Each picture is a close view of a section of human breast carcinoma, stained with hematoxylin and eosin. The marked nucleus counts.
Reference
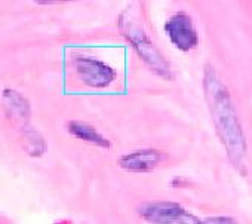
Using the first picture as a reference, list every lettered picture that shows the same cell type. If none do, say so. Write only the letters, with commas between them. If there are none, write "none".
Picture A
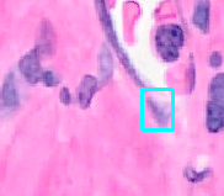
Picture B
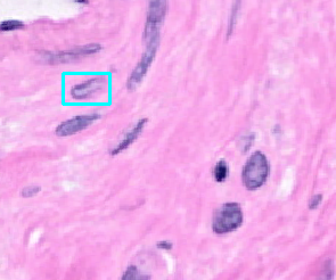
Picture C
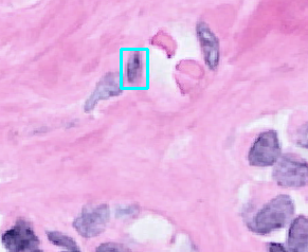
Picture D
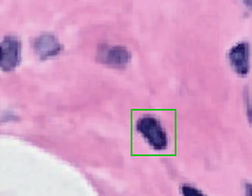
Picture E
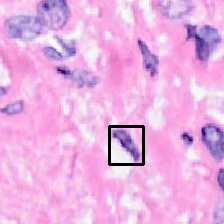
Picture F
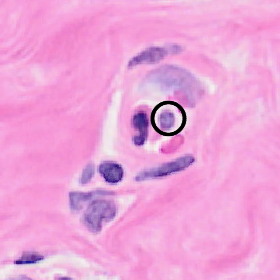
A, B, C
